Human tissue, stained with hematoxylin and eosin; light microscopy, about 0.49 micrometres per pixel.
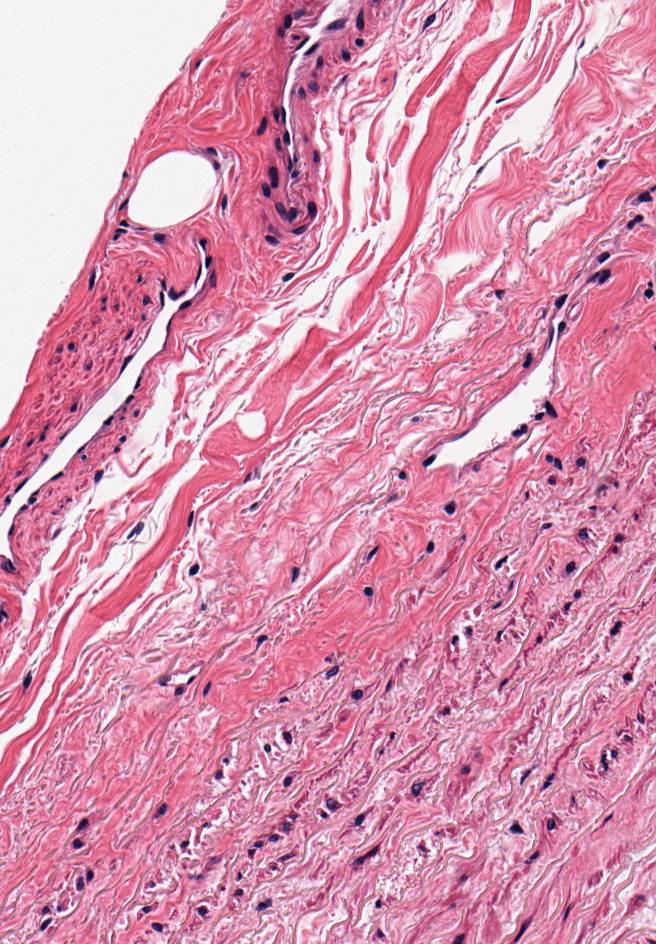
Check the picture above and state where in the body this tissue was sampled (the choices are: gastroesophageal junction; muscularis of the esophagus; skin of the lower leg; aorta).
aorta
